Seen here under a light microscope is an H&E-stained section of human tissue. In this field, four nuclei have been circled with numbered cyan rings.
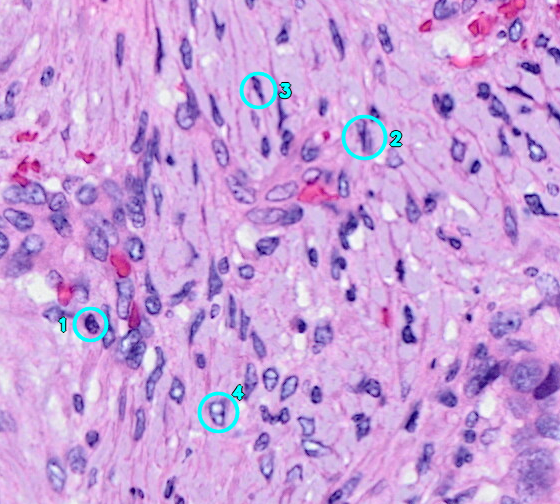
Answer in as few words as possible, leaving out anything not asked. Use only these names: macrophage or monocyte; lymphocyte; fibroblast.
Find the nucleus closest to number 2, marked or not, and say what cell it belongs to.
macrophage or monocyte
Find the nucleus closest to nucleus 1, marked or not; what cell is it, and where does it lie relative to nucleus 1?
a macrophage or monocyte; to the right of nucleus 1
